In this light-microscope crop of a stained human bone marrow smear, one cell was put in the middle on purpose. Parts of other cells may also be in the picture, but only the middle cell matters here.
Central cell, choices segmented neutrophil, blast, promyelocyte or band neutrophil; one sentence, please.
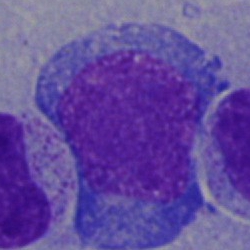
What the crop centres on is a blast.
